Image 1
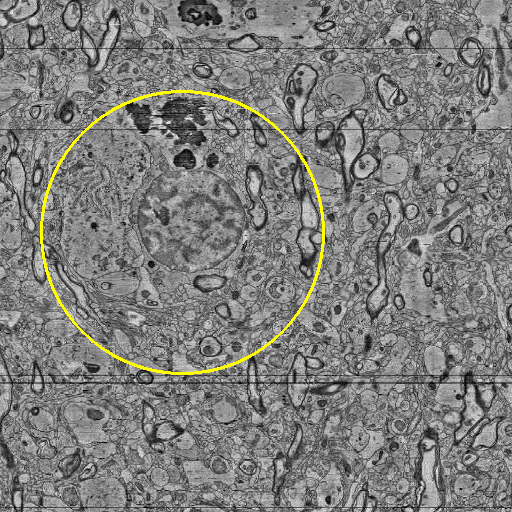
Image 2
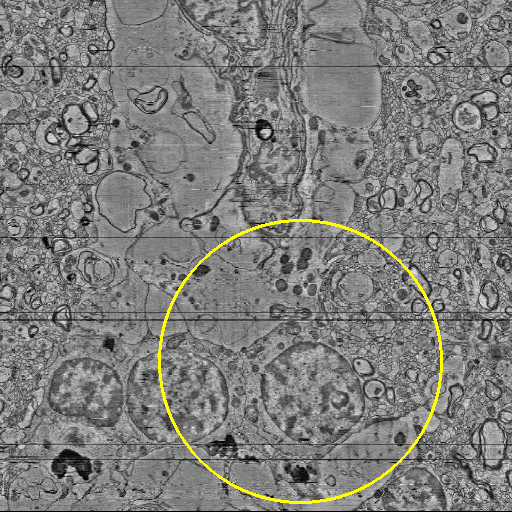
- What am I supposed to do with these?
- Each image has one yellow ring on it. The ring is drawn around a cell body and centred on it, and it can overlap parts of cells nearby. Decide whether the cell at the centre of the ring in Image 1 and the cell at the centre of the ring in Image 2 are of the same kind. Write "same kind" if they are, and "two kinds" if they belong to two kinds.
same kind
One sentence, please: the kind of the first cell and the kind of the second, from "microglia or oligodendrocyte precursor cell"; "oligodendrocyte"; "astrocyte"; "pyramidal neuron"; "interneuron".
Each of the two rings is centred on an oligodendrocyte.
